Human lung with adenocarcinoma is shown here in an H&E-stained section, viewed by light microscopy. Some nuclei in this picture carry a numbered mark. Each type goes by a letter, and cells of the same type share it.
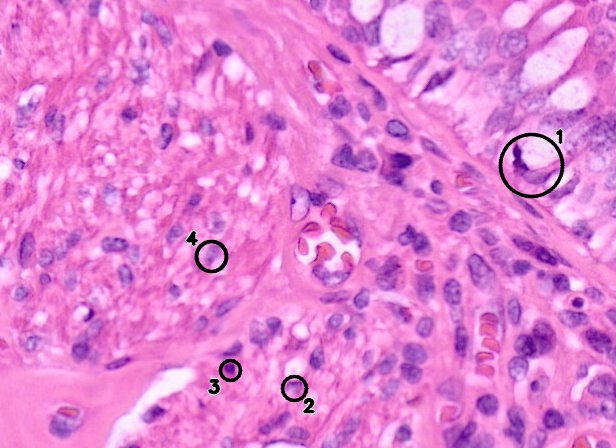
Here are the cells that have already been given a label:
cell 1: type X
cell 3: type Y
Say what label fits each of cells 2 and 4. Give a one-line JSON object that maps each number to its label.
{"2": "type Y", "4": "type Y"}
